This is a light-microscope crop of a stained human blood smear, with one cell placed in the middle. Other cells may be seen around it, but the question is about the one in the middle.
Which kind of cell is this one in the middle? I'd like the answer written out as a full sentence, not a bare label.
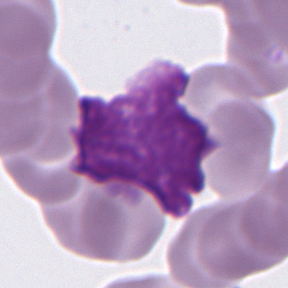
The cell of interest, in the center, is a smudge cell.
